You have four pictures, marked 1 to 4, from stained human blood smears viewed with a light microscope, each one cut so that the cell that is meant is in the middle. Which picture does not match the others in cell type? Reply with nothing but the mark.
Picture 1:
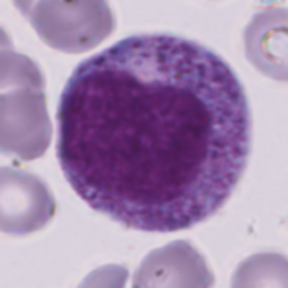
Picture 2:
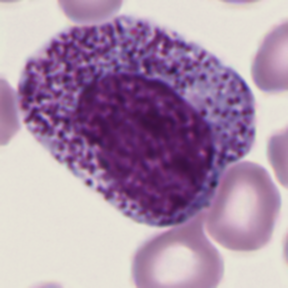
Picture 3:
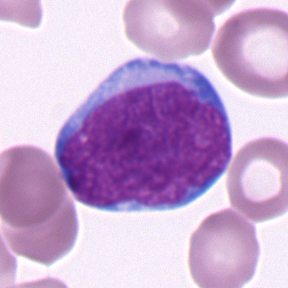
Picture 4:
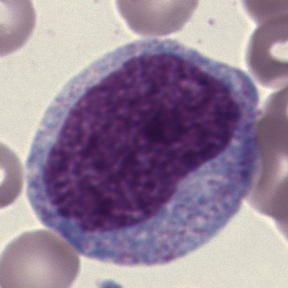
3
